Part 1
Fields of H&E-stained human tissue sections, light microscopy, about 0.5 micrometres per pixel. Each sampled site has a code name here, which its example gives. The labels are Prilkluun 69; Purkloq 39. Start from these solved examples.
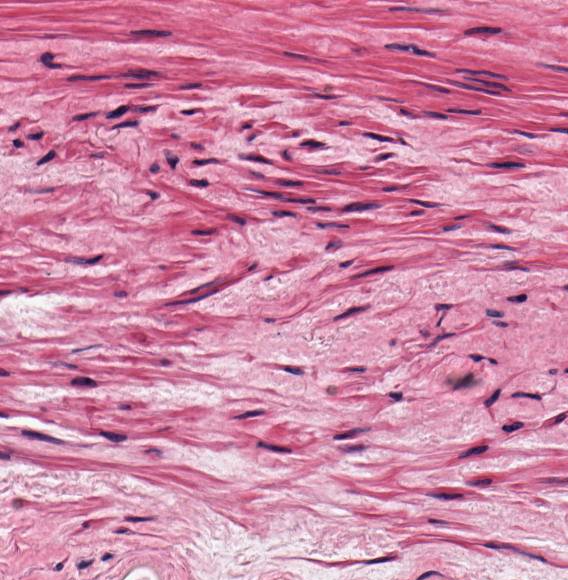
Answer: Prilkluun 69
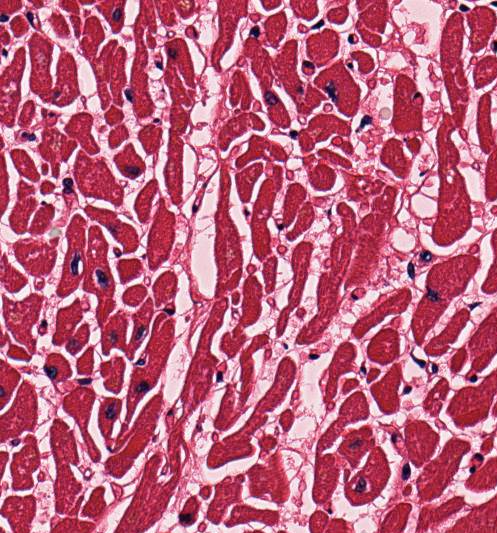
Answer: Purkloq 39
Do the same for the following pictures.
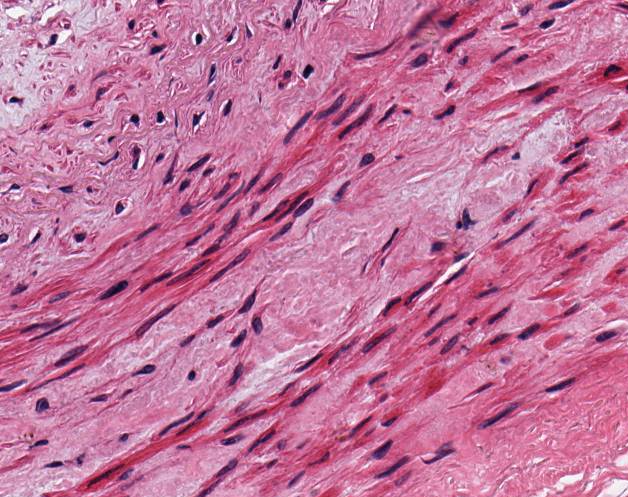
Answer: Prilkluun 69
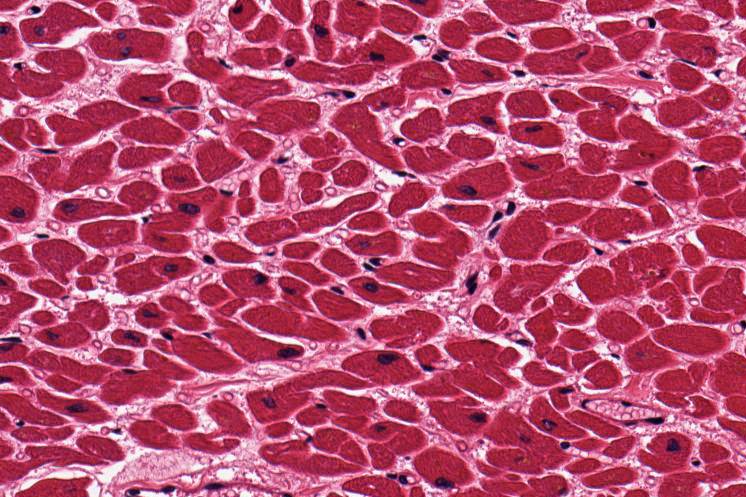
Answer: Purkloq 39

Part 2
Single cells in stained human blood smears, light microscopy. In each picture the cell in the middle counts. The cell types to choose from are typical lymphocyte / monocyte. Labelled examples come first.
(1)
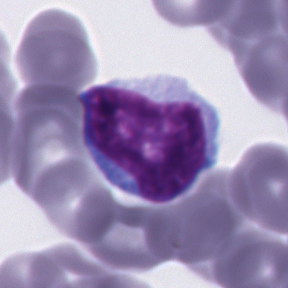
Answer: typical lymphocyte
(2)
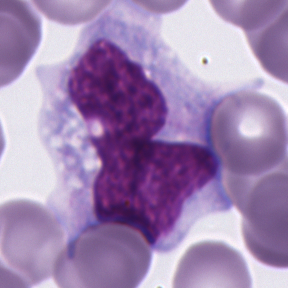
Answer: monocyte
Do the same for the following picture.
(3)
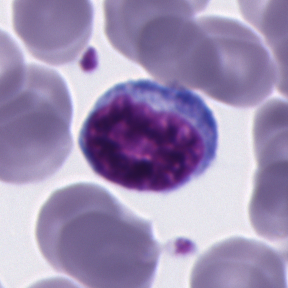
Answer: typical lymphocyte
